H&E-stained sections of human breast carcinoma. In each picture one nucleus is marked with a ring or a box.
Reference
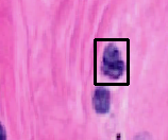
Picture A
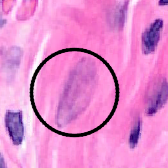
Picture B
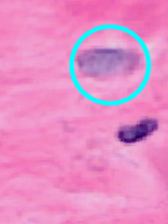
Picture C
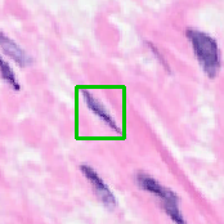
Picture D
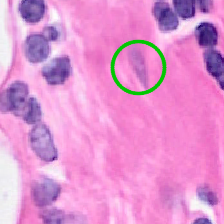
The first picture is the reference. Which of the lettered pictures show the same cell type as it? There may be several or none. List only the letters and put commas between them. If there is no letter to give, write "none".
none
